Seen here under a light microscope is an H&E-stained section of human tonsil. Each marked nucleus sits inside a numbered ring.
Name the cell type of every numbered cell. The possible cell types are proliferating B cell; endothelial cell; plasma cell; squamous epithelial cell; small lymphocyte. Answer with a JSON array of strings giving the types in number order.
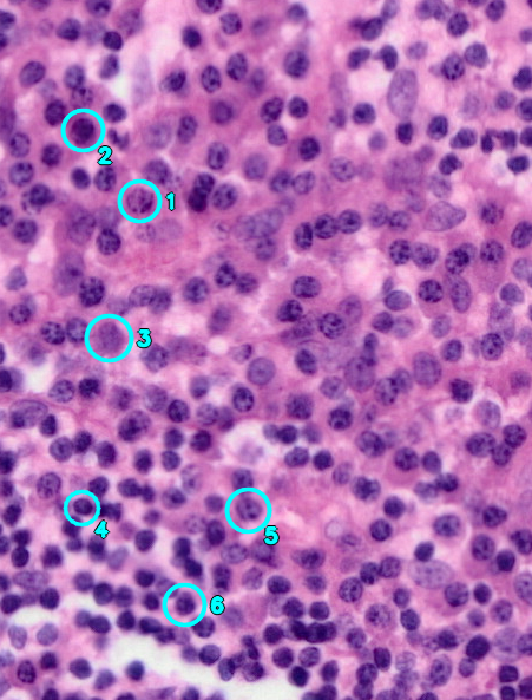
["plasma cell", "plasma cell", "squamous epithelial cell", "small lymphocyte", "plasma cell", "small lymphocyte"]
